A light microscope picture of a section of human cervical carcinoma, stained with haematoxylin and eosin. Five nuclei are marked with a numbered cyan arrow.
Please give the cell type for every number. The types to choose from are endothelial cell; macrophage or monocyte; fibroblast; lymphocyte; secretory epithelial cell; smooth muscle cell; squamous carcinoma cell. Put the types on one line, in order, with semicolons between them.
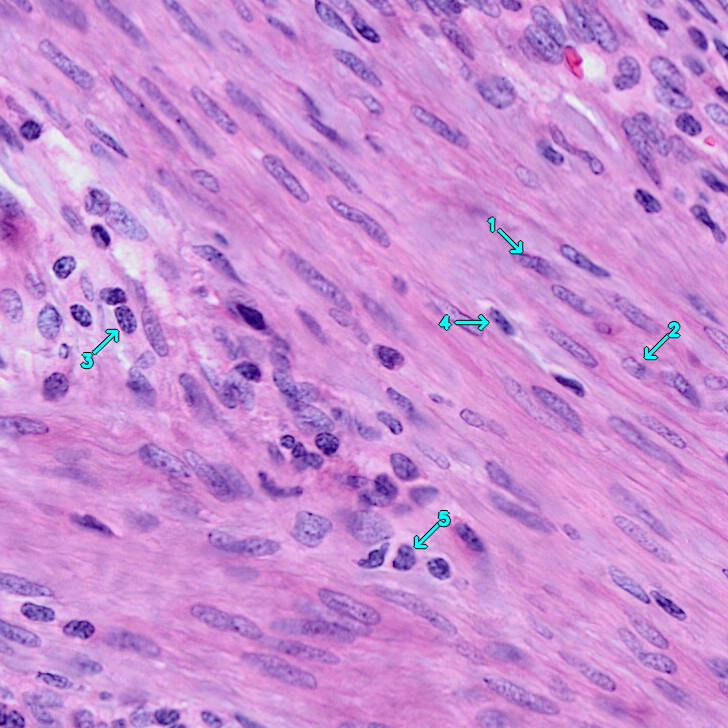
smooth muscle cell; smooth muscle cell; lymphocyte; lymphocyte; lymphocyte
